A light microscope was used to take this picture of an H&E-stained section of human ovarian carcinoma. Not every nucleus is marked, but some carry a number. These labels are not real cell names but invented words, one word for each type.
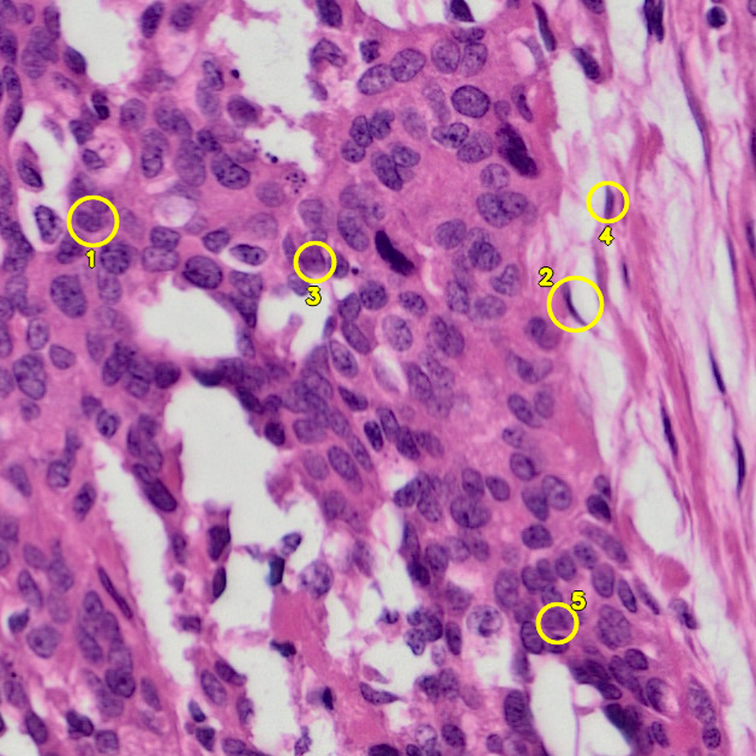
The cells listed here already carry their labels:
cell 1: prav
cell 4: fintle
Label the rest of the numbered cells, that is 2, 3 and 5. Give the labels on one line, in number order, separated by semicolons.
fintle; prav; prav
